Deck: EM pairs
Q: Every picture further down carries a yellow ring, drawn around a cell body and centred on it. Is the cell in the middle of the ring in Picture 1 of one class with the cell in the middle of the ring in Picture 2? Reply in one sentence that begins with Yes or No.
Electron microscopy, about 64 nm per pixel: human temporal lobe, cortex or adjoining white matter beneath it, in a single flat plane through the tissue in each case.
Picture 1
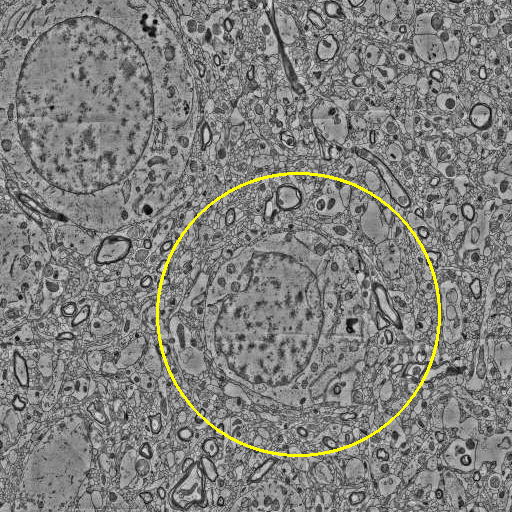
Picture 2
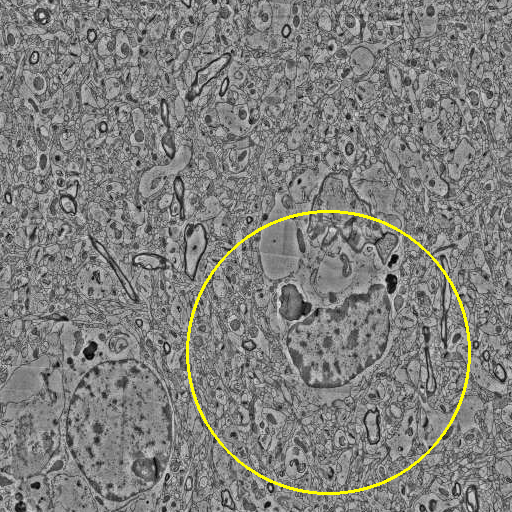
No, the cell centred in the ring of Picture 1 and the one in Picture 2 belong to separate classes.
